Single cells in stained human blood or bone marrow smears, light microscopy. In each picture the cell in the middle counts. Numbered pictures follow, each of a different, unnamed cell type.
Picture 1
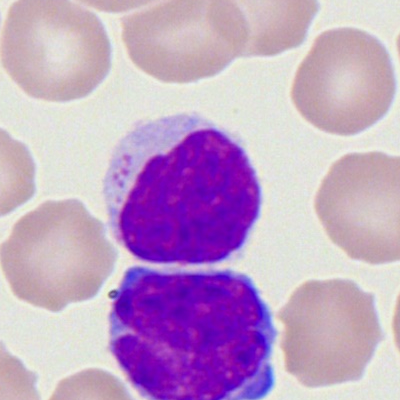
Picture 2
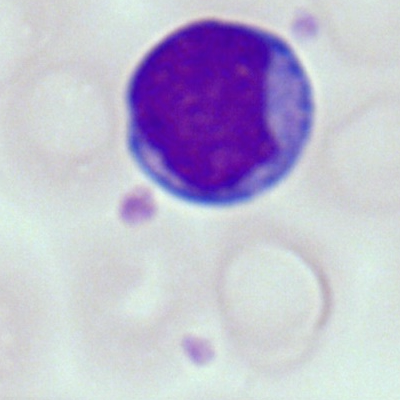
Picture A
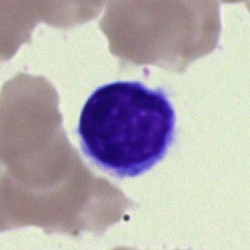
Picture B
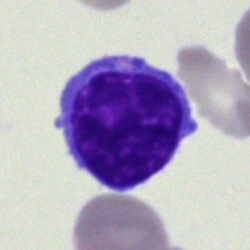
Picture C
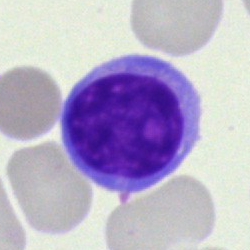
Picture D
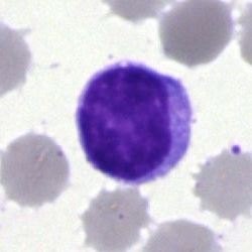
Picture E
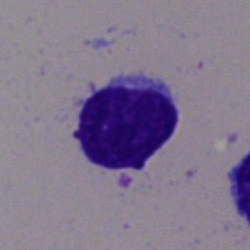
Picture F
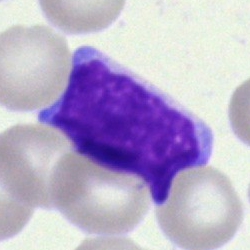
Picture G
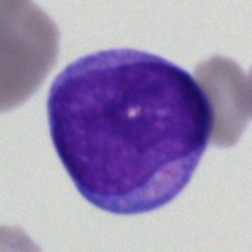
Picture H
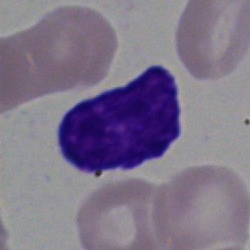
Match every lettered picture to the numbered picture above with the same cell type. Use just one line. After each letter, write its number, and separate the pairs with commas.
A 1, B 1, C 1, D 1, E 1, F 2, G 2, H 2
